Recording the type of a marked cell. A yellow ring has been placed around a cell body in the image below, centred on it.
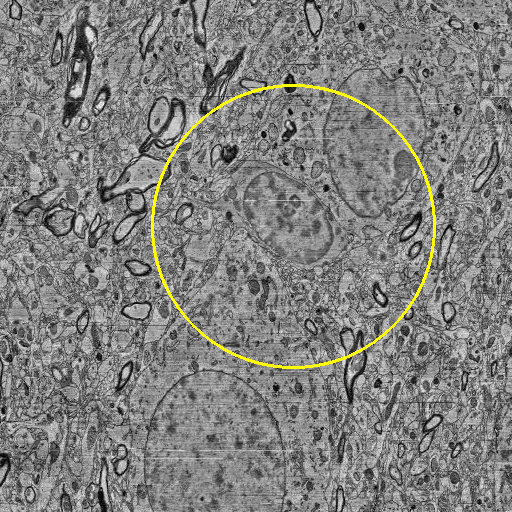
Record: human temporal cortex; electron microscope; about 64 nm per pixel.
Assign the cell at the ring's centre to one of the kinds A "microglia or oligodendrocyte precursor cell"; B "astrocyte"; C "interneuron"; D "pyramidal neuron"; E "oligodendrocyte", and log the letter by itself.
E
